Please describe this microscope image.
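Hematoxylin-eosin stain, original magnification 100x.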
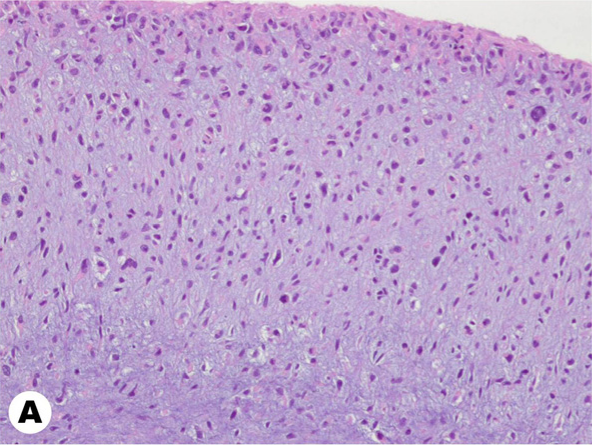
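This tissue contains atypical spindle cells set sparsely in an abundant, loose myxoid background. Their nuclei are dark and hyperchromatic, and they vary in size and shape, from elongated spindles to plumper, irregular forms. A few larger, markedly atypical nuclei stand out.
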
